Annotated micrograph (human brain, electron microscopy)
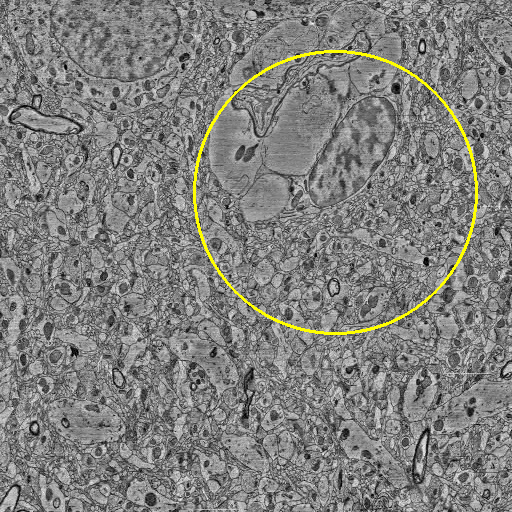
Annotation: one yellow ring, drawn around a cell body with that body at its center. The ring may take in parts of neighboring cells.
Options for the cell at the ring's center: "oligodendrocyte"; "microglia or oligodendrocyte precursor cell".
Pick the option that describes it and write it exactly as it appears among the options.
microglia or oligodendrocyte precursor cell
